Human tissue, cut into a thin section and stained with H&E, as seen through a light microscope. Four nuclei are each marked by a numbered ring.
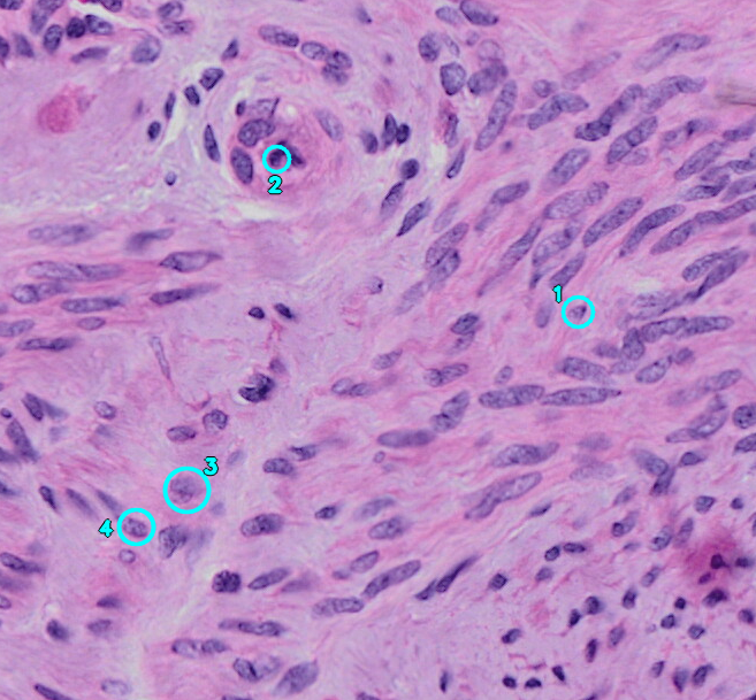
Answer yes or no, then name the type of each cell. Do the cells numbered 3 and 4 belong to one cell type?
Yes, cells number 3 and number 4 are both smooth muscle cells.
